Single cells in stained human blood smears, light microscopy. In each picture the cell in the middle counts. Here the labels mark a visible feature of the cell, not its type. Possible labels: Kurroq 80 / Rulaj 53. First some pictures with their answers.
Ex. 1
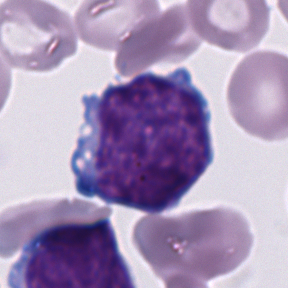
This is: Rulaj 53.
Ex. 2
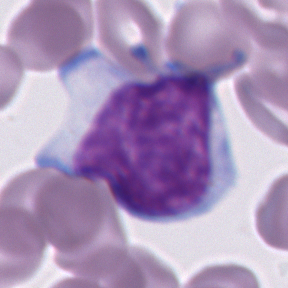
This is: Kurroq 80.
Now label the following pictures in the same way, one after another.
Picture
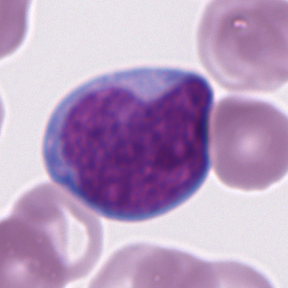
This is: Kurroq 80.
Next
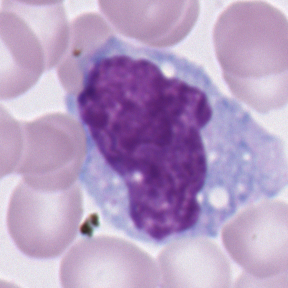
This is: Rulaj 53.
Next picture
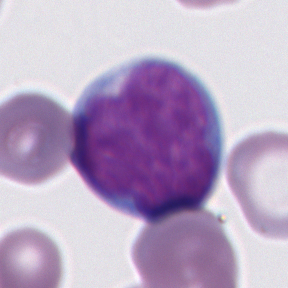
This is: Kurroq 80.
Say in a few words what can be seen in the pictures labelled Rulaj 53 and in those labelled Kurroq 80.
In Rulaj 53: vacuoles present. In Kurroq 80: no vacuoles.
